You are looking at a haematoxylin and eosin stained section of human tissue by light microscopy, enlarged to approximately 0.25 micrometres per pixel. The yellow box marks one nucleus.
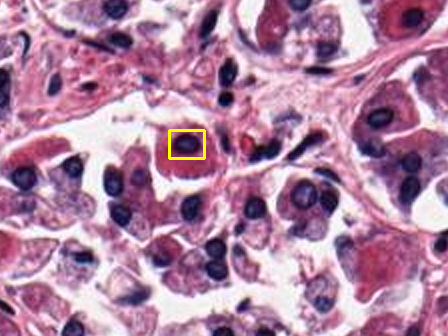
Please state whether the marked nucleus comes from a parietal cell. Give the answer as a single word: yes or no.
yes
